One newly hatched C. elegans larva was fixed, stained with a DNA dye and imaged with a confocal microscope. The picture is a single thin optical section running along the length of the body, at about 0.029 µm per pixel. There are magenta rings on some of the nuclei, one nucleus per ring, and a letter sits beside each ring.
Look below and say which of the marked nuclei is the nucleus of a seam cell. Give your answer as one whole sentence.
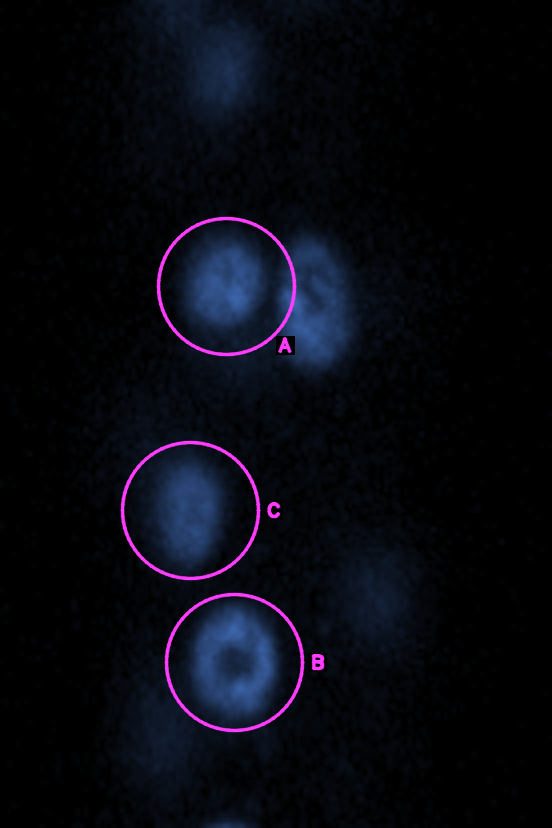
B is the one that belongs to a seam cell.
